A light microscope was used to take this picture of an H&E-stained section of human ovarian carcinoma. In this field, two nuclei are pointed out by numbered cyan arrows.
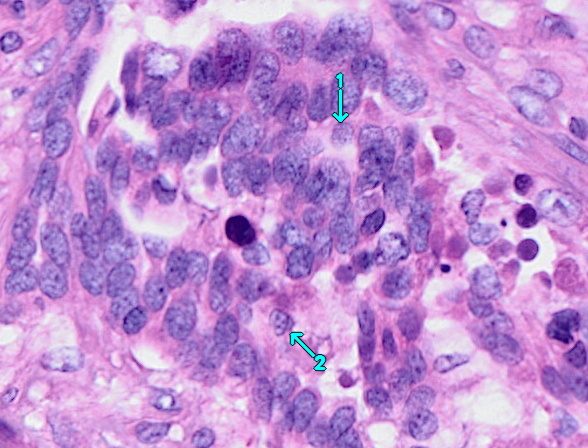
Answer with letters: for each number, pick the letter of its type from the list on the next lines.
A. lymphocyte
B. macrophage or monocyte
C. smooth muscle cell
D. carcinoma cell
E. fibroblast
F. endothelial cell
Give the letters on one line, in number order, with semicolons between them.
D; B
